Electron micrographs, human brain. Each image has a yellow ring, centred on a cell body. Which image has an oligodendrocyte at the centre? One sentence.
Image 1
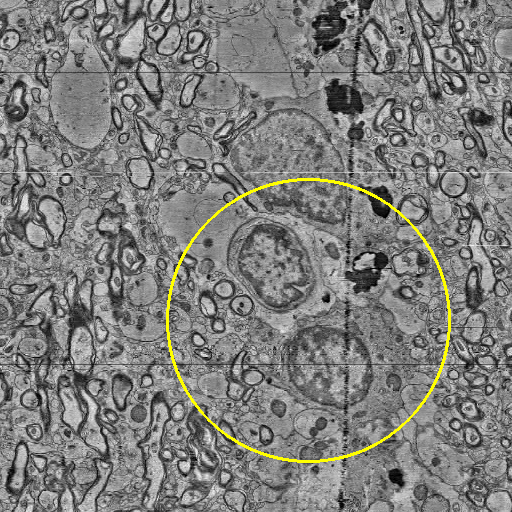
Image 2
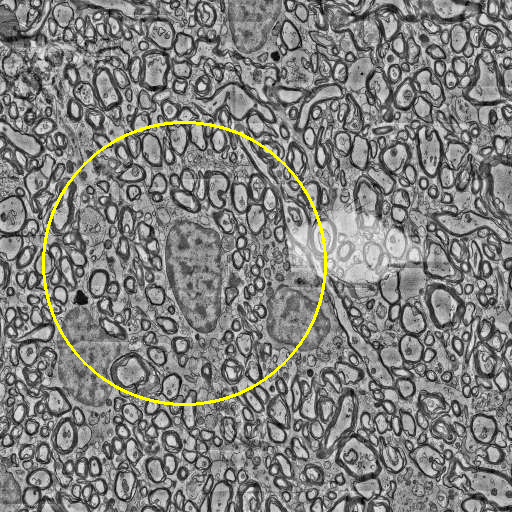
The ring in Image 1 is centred on it.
